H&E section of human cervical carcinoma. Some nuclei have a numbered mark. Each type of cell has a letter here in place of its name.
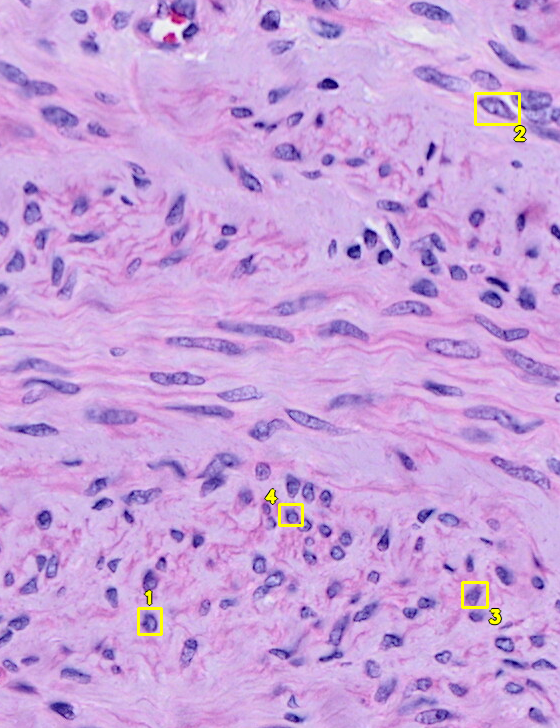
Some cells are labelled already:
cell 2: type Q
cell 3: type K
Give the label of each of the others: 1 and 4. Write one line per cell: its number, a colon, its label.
1: type K
4: type K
